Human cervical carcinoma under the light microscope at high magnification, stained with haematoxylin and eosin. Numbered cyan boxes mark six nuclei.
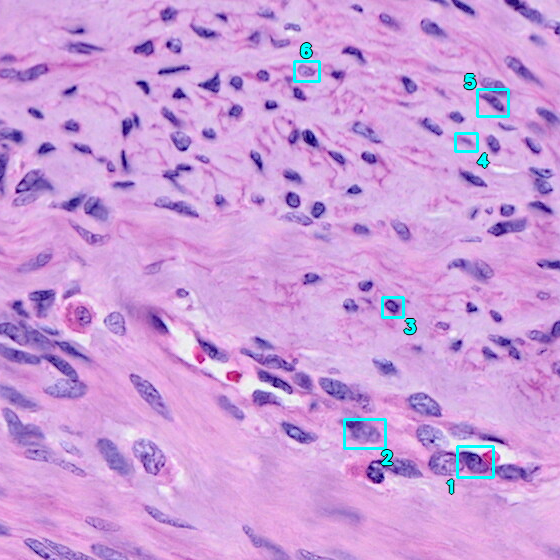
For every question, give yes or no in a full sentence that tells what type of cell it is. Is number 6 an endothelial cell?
No, cell 6 is identified not as an endothelial cell but as a smooth muscle cell.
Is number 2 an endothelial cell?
Yes, the one with the number 2 is an endothelial cell.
